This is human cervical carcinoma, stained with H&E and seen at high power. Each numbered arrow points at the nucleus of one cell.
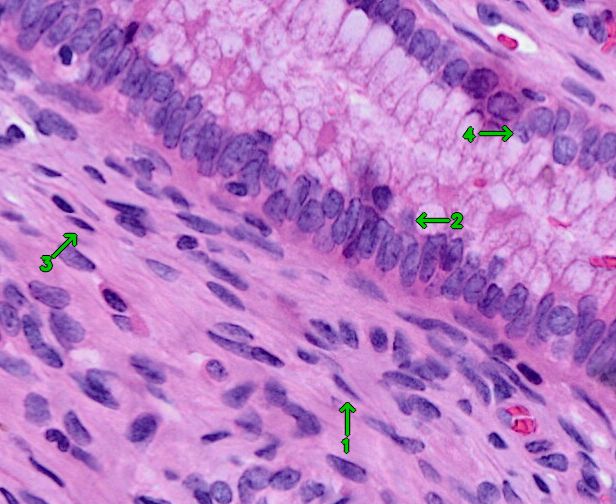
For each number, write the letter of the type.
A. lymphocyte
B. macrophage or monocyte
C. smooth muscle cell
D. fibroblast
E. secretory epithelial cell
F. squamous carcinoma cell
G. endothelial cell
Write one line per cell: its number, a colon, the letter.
1: D
2: E
3: D
4: E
